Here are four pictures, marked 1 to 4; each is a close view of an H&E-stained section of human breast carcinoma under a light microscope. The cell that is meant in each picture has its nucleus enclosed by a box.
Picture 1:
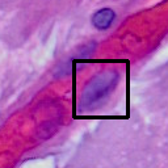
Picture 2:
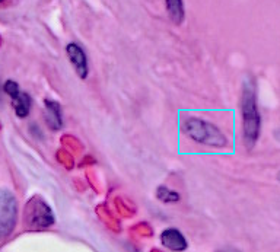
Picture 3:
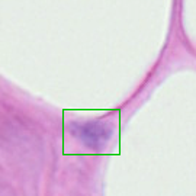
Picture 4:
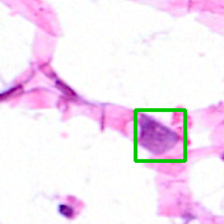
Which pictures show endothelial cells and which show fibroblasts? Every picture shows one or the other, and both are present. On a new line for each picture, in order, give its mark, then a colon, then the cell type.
1: endothelial cell
2: endothelial cell
3: fibroblast
4: endothelial cell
